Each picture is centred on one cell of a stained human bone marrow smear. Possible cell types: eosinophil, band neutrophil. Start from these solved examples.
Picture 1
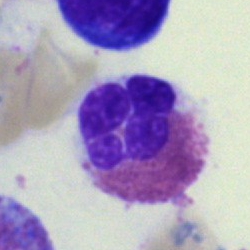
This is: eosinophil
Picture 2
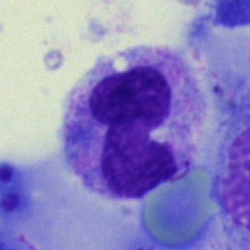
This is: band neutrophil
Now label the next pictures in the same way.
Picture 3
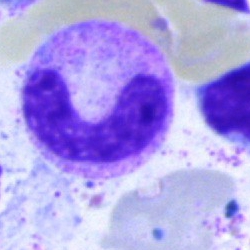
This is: band neutrophil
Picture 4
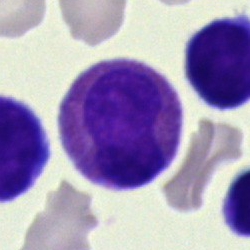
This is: eosinophil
